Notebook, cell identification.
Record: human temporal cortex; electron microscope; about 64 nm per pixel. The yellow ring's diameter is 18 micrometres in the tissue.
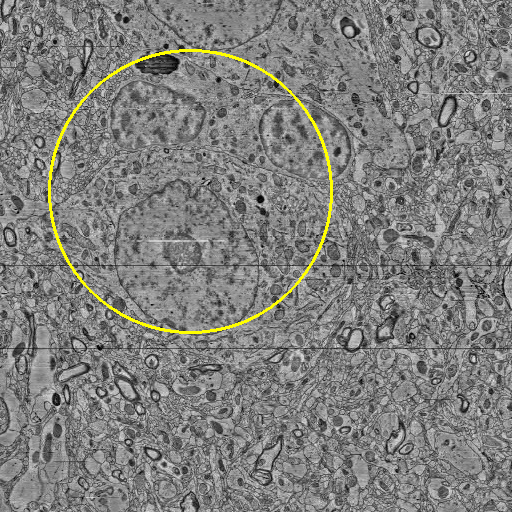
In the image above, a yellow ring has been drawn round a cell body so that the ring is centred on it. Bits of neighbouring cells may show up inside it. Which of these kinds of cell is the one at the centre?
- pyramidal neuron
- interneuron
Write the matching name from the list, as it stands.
interneuron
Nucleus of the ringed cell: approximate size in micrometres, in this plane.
In this plane the nucleus spans approximately 10 by 9 micrometers.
